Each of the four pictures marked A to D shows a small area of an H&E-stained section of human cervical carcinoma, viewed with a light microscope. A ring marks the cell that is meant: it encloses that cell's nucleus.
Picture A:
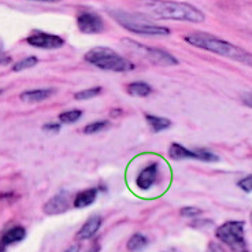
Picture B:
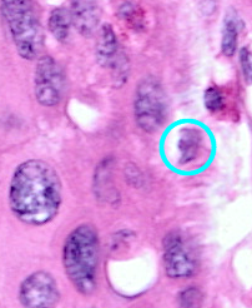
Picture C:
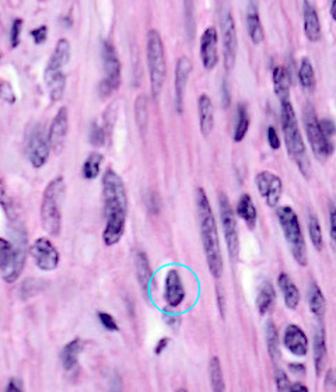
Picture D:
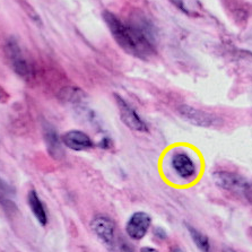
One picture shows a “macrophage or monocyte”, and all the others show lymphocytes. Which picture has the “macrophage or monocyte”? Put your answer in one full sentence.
The cell in picture B is the “macrophage or monocyte”.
